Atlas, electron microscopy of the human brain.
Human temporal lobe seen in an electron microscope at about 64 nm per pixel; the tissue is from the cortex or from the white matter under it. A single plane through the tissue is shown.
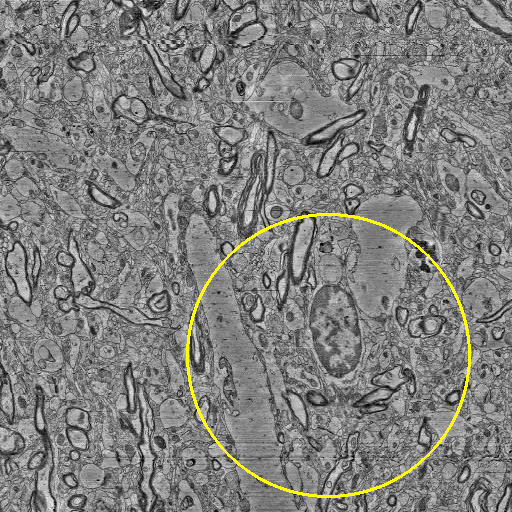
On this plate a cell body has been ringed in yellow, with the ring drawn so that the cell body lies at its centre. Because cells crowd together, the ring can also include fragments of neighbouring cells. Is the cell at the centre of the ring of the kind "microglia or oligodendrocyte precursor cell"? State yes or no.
Yes, it is of that kind.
